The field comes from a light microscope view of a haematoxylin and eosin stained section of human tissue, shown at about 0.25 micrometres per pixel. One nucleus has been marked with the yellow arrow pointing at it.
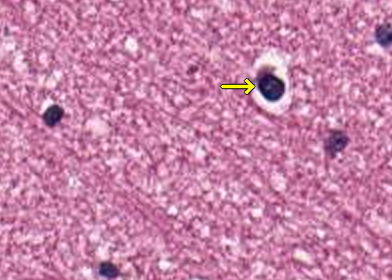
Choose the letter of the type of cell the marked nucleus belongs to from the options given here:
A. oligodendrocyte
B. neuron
A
